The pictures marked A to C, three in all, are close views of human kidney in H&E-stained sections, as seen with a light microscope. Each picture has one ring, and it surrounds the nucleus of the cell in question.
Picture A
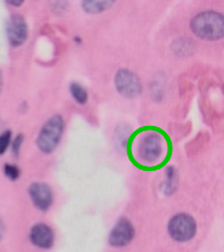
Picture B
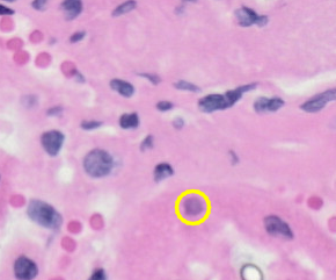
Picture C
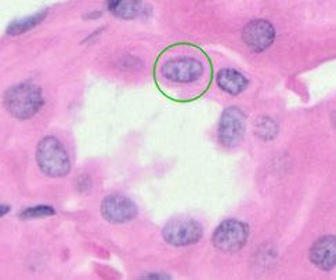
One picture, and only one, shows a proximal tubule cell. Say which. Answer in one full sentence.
Picture B shows the proximal tubule cell.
